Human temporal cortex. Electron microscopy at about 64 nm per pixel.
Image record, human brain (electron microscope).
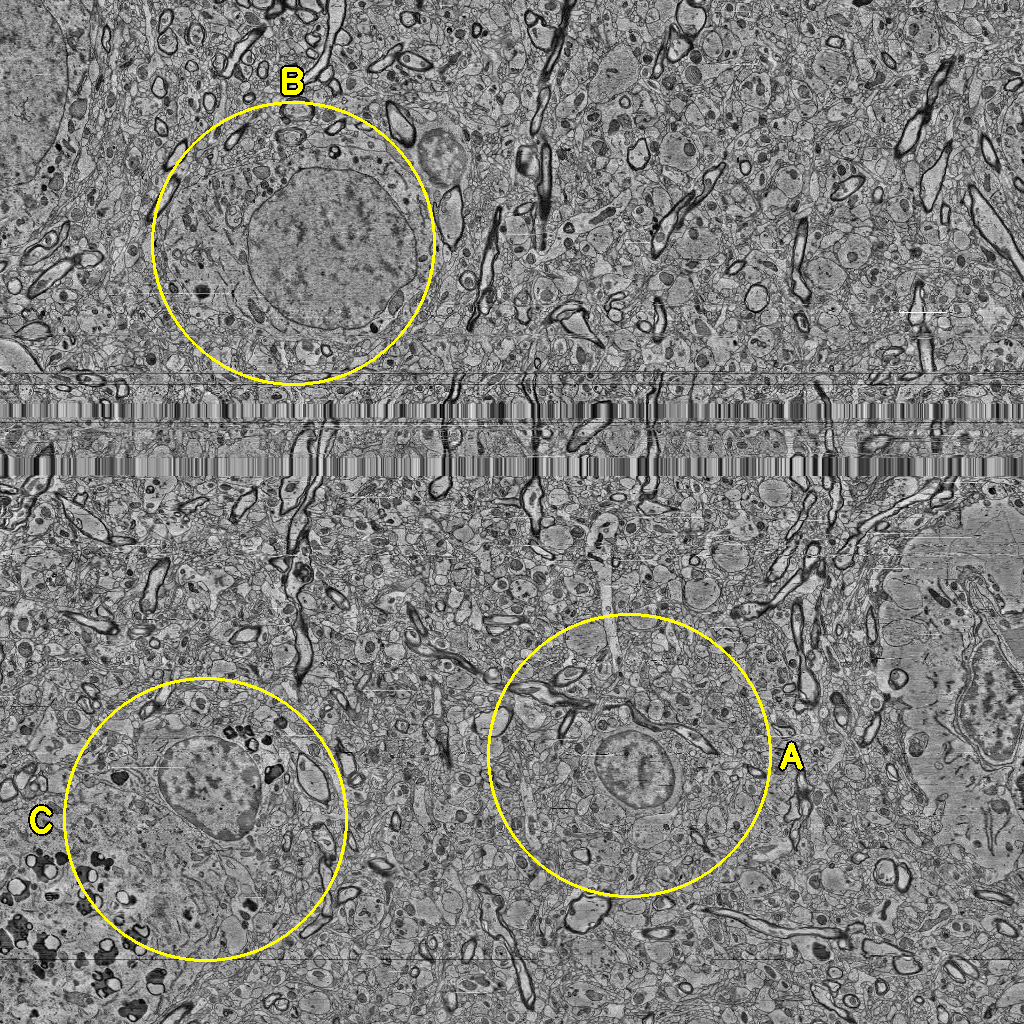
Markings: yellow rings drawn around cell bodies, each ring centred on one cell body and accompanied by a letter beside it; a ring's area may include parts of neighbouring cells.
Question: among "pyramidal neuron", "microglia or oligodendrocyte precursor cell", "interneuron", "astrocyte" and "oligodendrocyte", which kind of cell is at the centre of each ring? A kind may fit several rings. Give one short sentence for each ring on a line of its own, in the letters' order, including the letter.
Ring A is centred on the cell body of an oligodendrocyte.
Ring B is centred on the cell body of a pyramidal neuron.
Ring C is centred on the cell body of a microglial cell or oligodendrocyte precursor cell.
